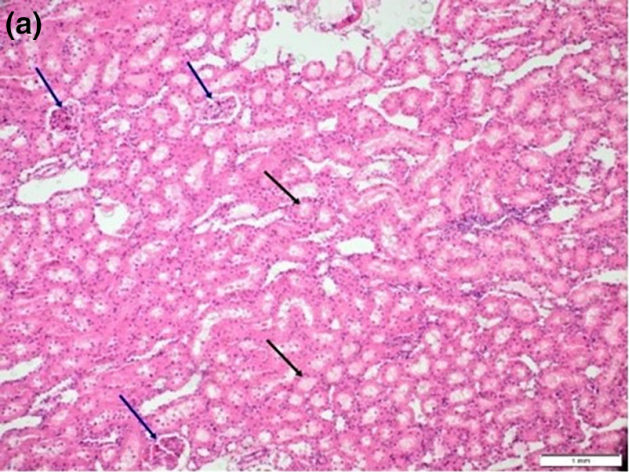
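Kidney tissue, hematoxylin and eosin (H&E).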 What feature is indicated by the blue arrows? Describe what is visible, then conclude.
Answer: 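Rounded tufts of capillaries and nuclei sit inside a clear space. Each tuft is surrounded by a thin capsule. They are scattered among many tubule cross-sections.
Hence: glomeruli.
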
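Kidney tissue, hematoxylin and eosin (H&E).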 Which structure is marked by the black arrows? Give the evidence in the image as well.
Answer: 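Round and oval profiles lined by a single layer of pink epithelial cells. Each profile has a small central lumen. The profiles are packed closely side by side. That points to this answer: tubules.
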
